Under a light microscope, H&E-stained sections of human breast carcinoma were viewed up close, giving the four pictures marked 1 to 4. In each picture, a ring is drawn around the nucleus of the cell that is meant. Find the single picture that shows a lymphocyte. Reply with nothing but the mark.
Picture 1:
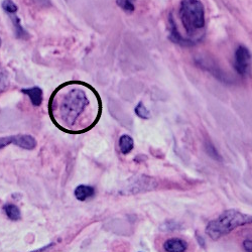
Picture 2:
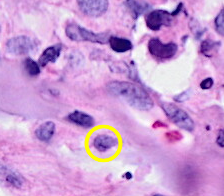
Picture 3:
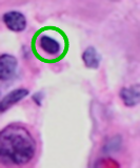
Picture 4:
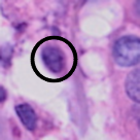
3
